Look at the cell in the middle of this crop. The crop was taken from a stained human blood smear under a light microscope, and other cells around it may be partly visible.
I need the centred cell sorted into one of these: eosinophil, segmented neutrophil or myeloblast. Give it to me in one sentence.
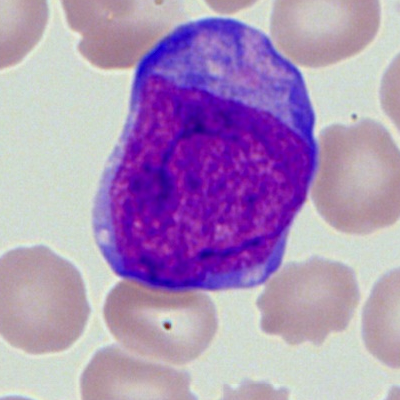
The cell in the middle of the field of view is a myeloblast.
